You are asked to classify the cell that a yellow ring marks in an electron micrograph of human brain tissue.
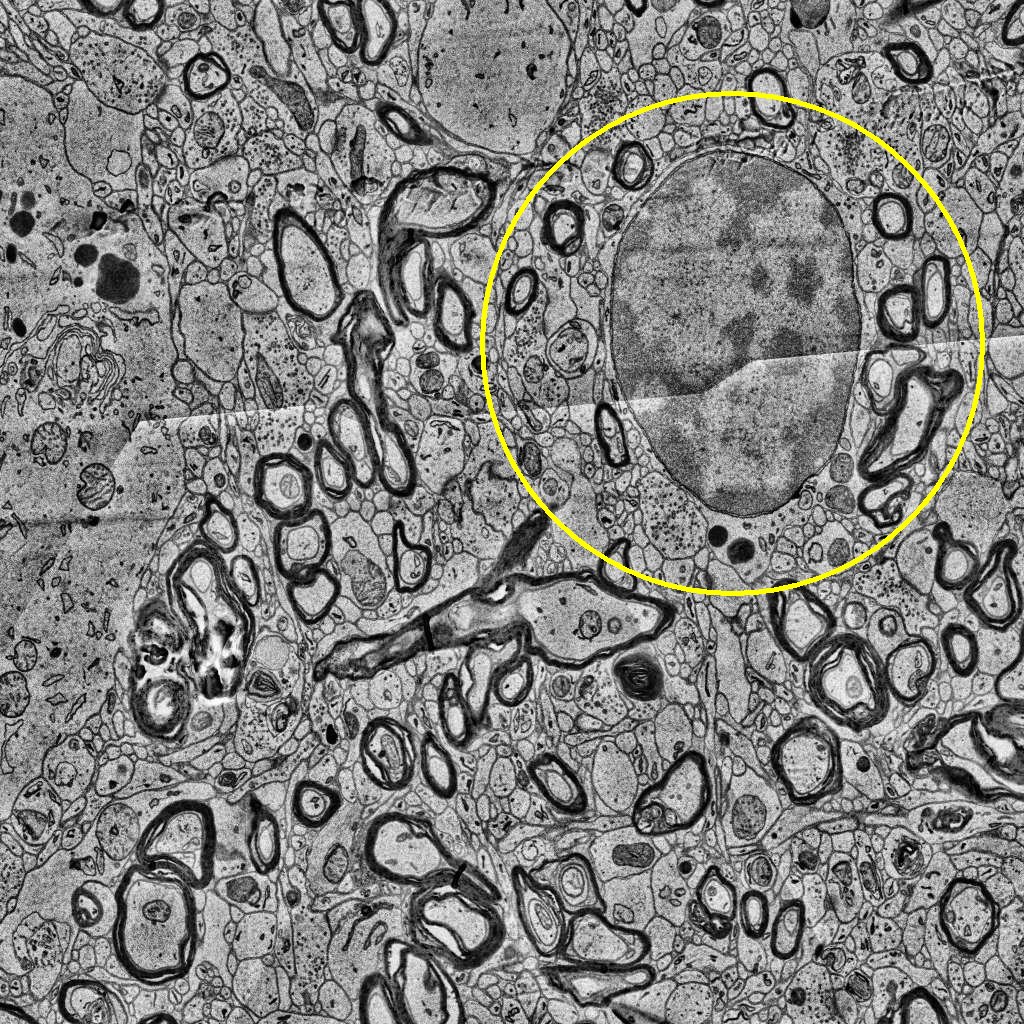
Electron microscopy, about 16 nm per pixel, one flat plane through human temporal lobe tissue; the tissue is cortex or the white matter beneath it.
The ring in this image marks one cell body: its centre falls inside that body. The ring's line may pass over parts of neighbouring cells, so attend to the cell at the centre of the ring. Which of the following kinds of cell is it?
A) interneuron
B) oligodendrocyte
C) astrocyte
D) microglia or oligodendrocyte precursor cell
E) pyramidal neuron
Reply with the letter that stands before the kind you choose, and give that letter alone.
D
